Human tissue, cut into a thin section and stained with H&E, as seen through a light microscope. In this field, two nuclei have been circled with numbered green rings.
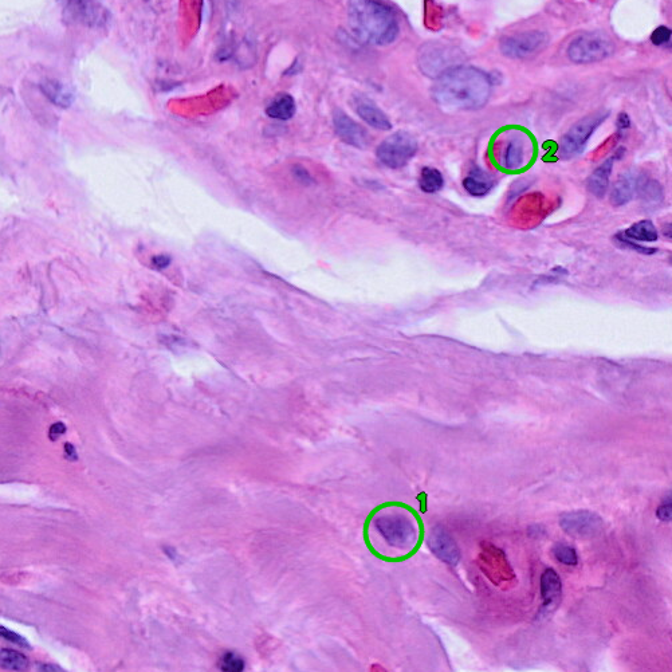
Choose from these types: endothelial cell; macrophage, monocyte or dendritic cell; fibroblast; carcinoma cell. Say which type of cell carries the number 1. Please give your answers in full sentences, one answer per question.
To a fibroblast belongs the nucleus marked 1.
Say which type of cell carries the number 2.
The cell with the number 2 is an endothelial cell.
